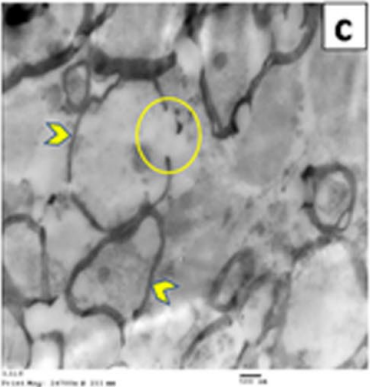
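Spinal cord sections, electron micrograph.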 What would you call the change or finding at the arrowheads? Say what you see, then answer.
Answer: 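Thinning. The dark rings at the arrowheads are thin lines around pale axons.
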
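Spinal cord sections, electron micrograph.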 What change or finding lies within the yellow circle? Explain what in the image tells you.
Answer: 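Inside the circle the dark sheath line is broken into short fragments. Gaps interrupt the ring around the axon. That points to this answer: discontinuation.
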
